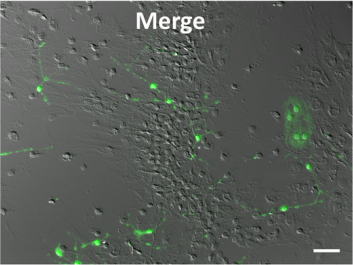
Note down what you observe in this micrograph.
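A mixed culture seen in grey relief: many small, flat, unlabelled cells scattered over the dish, packed more densely in a cluster near the centre and more sparsely towards the edges. Over them lie a few green fluorescent cells, most with small rounded bodies from which long, very thin processes run across much of the field. One larger, faintly green oval shape sits on the right. The green cells look like neurons with long neurites lying among the unlabelled cells of the culture.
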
